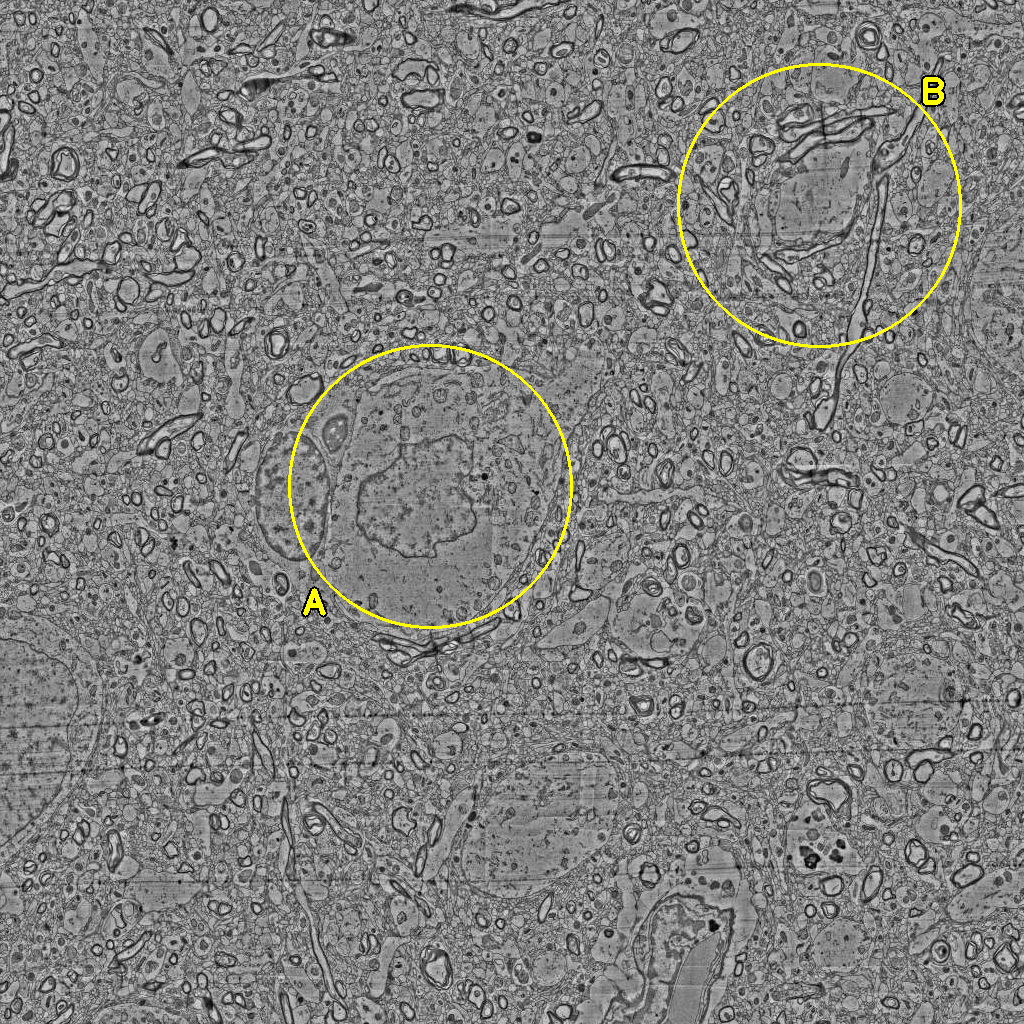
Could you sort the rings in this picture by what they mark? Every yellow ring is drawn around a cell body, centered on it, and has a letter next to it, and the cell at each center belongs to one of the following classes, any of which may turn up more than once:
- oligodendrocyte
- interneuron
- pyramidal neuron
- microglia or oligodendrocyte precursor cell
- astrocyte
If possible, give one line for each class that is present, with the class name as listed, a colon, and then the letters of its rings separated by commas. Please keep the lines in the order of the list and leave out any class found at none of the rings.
pyramidal neuron: A
astrocyte: B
